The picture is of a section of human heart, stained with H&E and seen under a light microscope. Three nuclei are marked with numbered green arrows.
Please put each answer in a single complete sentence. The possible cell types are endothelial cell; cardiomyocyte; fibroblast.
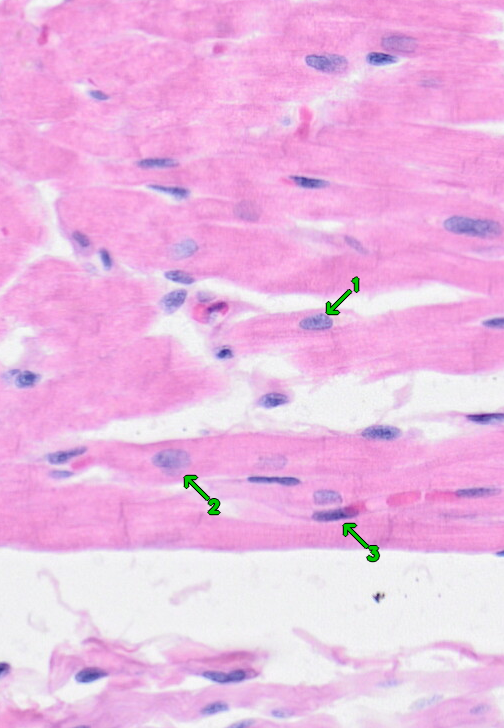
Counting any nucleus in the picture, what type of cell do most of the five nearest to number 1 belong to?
Endothelial cells make up most of the five nuclei closest to number 1.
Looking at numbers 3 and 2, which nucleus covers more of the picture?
Nucleus 2 covers more area, about 1.5 times as much as nucleus 3.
